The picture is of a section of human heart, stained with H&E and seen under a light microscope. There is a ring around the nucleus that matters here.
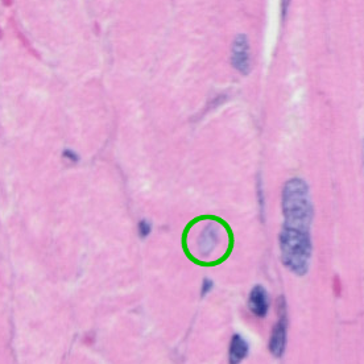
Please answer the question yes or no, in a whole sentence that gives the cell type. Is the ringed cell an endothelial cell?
No, judged by cell type, the ringed cell is a cardiomyocyte, not an endothelial cell.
